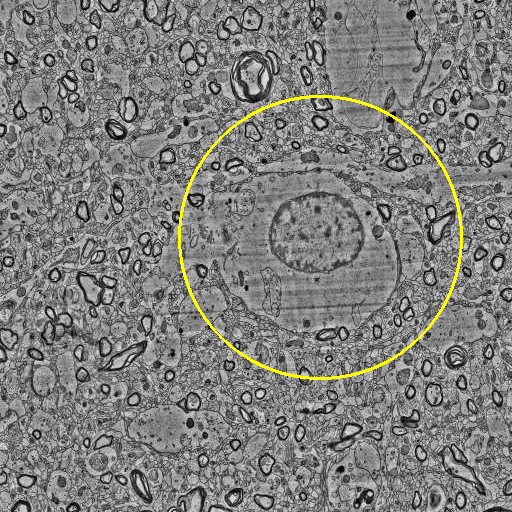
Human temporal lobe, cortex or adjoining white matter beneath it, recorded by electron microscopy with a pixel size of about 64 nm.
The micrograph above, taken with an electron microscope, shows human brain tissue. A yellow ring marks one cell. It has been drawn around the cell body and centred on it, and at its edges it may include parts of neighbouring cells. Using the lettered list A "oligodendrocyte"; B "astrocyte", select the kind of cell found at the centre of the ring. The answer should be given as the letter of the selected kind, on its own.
B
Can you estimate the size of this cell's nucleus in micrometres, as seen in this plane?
The nucleus of the ringed cell is approximately 6 by 5 micrometres in this plane.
